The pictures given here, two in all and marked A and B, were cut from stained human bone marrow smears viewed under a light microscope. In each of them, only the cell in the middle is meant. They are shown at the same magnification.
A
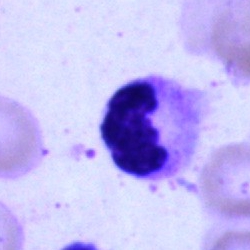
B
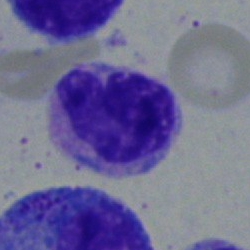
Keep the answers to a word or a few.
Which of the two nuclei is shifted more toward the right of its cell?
B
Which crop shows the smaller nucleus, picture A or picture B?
A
